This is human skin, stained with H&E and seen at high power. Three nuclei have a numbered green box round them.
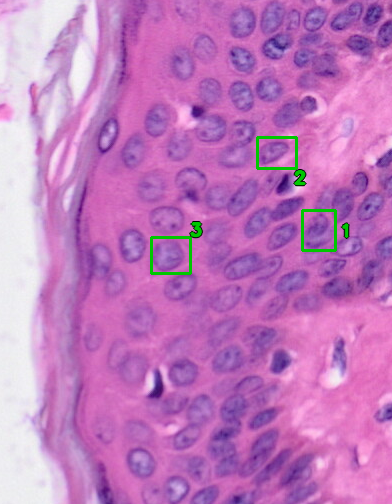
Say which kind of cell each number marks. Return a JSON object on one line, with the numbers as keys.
{"1": "basal keratinocyte", "2": "basal keratinocyte", "3": "suprabasal keratinocyte"}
